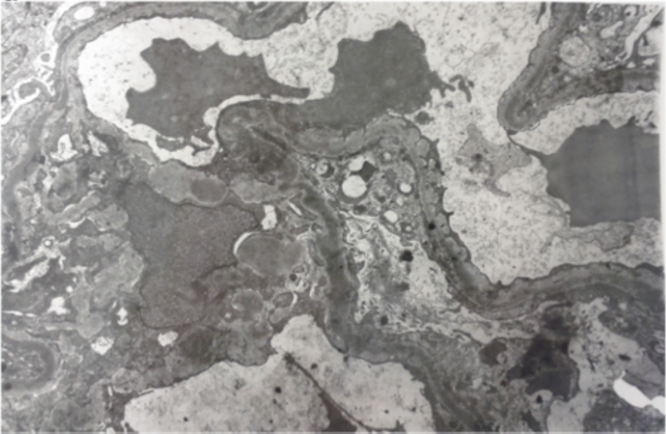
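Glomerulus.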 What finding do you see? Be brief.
Electron-dense deposits.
